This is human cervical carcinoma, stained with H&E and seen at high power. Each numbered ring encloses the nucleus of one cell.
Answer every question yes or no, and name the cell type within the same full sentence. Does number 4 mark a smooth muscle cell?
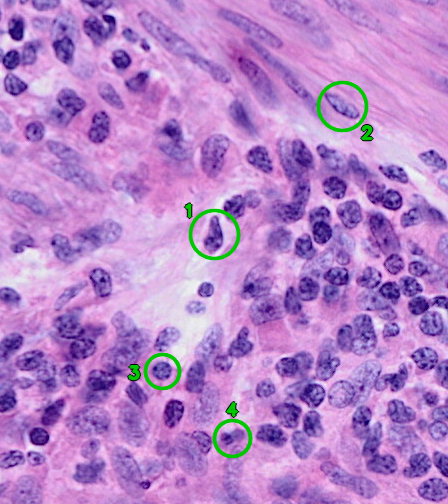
No, the cell referred to as 4 is a lymphocyte, not a smooth muscle cell.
